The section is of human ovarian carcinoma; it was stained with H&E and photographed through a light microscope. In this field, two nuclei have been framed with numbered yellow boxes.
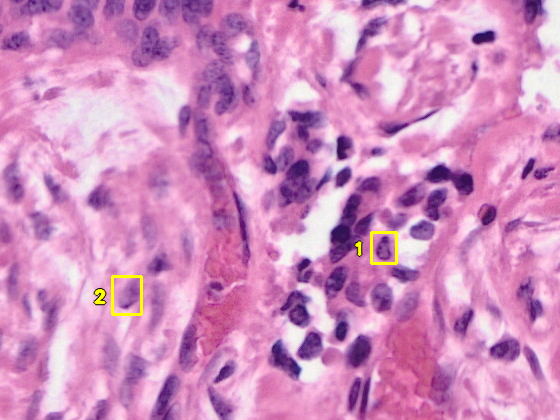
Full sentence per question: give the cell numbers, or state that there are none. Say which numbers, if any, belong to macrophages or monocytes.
The cell labelled 1 is a macrophage or monocyte, while the remaining numbered cells are not.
